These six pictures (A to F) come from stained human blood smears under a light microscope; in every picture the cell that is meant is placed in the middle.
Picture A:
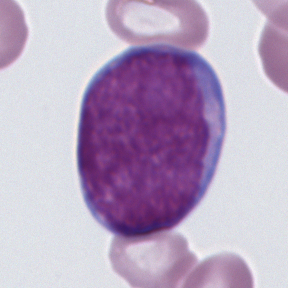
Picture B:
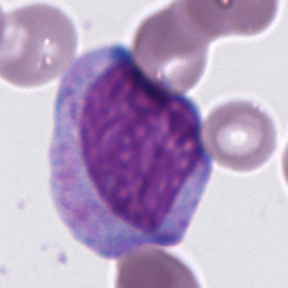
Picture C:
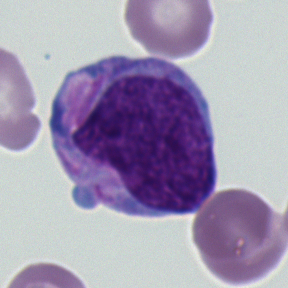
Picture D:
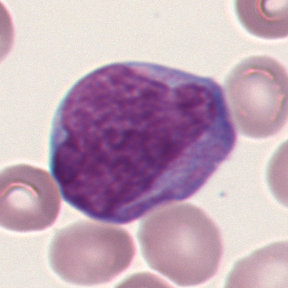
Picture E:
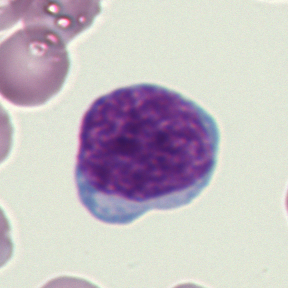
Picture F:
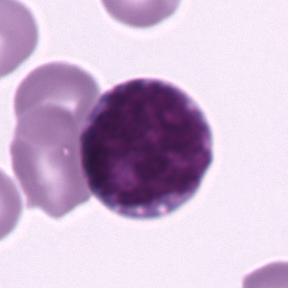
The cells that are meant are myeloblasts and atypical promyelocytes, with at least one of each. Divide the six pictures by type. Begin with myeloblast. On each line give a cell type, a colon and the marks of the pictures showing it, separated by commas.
myeloblast: A, E, F
atypical promyelocyte: B, C, D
